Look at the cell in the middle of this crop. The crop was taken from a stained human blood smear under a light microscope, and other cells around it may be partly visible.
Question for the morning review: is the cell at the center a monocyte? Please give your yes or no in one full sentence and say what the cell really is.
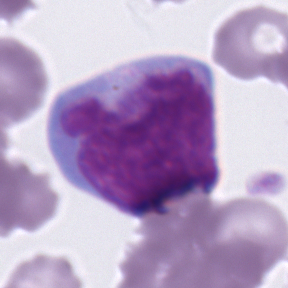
No, the central cell is counted as a blast instead of a monocyte.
